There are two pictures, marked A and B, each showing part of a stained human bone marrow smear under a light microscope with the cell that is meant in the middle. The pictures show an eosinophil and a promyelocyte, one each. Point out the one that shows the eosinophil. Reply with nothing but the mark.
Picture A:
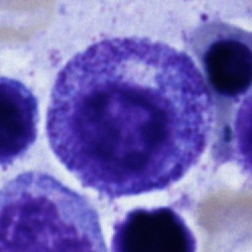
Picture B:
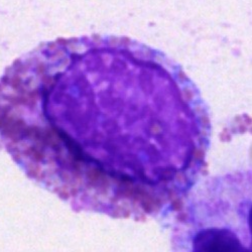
B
